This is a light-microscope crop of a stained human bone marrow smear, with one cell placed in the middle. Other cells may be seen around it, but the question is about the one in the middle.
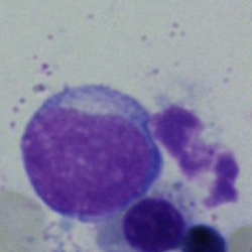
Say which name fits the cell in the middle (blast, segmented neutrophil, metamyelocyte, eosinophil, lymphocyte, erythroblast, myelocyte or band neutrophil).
blast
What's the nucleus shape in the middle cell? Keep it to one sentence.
What stands out is a nucleus forming one compact round, oval or kidney-shaped mass.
